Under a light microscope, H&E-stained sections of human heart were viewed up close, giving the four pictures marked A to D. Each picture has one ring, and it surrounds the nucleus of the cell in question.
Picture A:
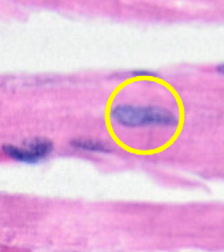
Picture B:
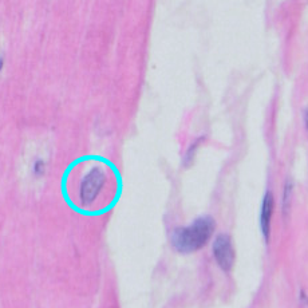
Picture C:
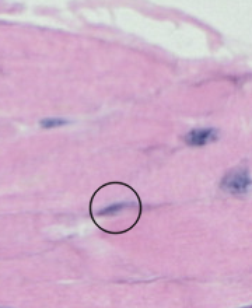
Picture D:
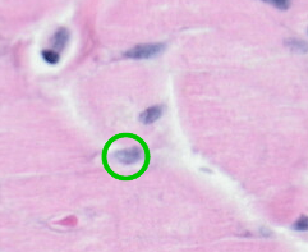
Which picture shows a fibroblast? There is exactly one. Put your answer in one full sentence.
It is picture D that shows the fibroblast.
